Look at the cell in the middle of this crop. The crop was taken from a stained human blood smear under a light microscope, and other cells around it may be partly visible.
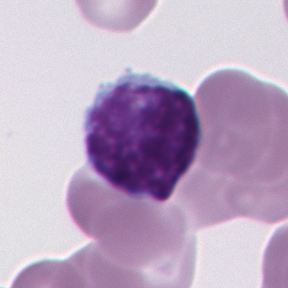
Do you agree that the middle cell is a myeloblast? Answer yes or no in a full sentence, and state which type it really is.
No, it is a typical lymphocyte and not a myeloblast that occupies the middle of the crop.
